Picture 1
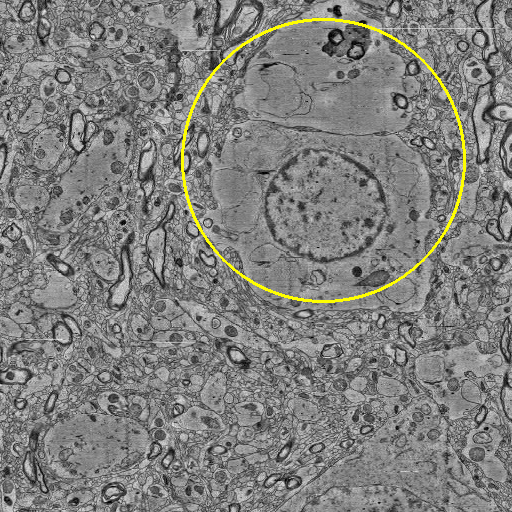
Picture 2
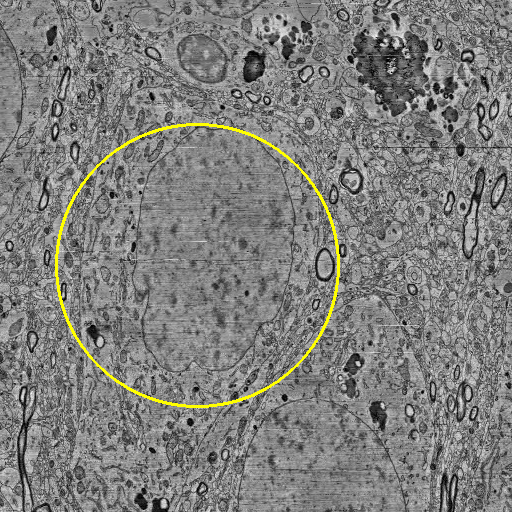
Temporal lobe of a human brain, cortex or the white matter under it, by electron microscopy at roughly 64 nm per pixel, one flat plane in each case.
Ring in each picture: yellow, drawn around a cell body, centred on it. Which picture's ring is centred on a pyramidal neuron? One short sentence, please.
Picture 2 is the one.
